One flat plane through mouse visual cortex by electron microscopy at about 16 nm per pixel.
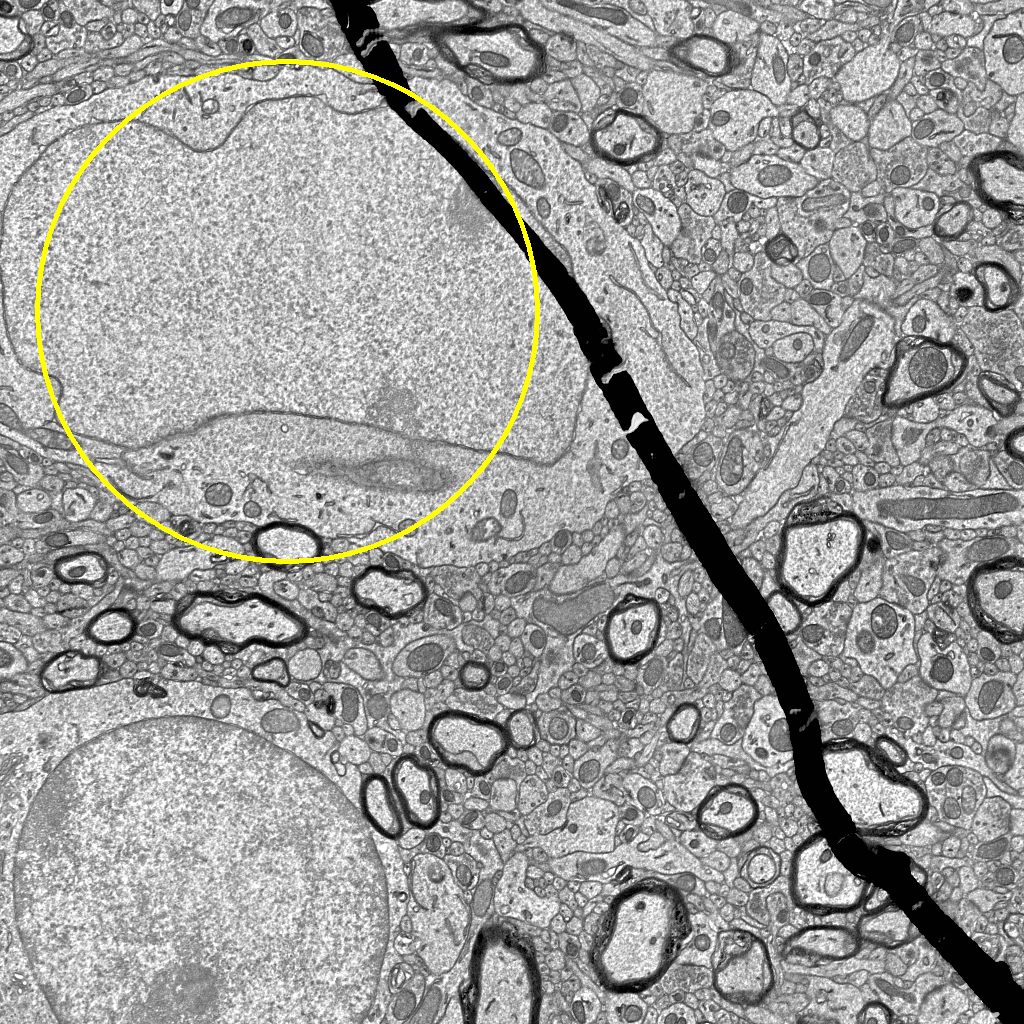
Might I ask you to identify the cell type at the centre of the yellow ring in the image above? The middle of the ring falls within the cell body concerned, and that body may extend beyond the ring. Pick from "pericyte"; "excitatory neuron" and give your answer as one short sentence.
The centre of the ring falls on an excitatory neuron.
